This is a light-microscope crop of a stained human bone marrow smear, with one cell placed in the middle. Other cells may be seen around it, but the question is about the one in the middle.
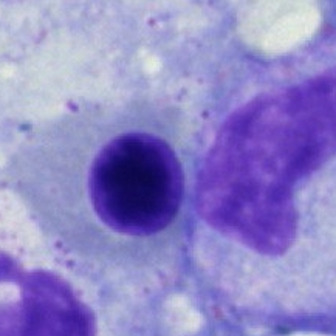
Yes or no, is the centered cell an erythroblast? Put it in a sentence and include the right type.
Yes, the cell in the middle has the identity of an erythroblast.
